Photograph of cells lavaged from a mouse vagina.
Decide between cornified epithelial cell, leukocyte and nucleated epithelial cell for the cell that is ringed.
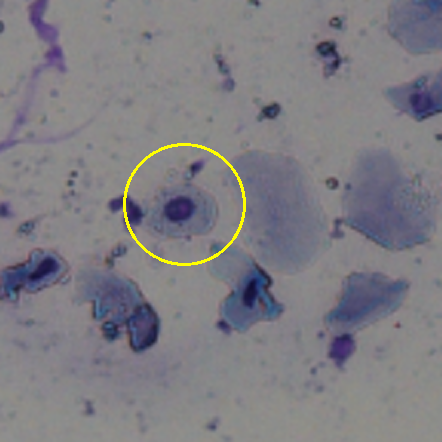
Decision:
I take the ringed cell for a nucleated epithelial cell.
